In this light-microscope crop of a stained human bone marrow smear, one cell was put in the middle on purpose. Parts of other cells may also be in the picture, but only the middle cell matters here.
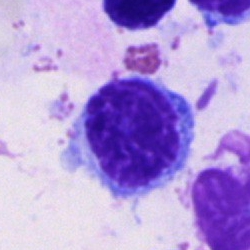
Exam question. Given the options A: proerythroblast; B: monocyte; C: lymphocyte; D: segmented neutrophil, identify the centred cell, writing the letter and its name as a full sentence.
For this crop, option C is right, the centered cell being a lymphocyte.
